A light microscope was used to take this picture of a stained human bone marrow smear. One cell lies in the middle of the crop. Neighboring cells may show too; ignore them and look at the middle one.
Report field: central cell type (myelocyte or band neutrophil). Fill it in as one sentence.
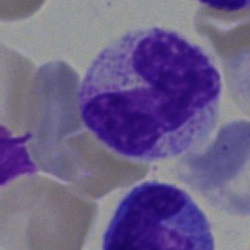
Positioned in the middle of the crop is a band neutrophil.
